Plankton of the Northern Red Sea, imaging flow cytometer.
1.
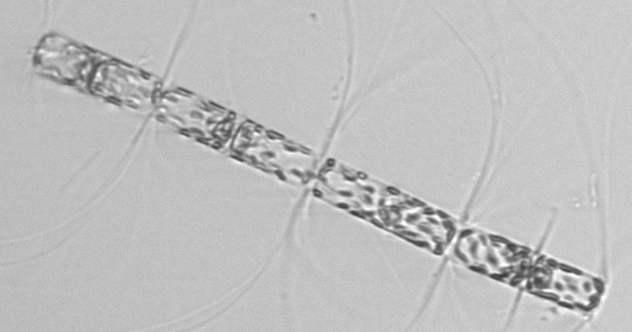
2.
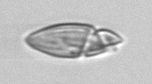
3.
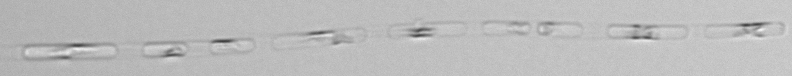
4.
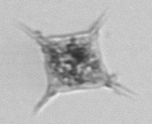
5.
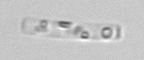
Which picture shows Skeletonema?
Picture 3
